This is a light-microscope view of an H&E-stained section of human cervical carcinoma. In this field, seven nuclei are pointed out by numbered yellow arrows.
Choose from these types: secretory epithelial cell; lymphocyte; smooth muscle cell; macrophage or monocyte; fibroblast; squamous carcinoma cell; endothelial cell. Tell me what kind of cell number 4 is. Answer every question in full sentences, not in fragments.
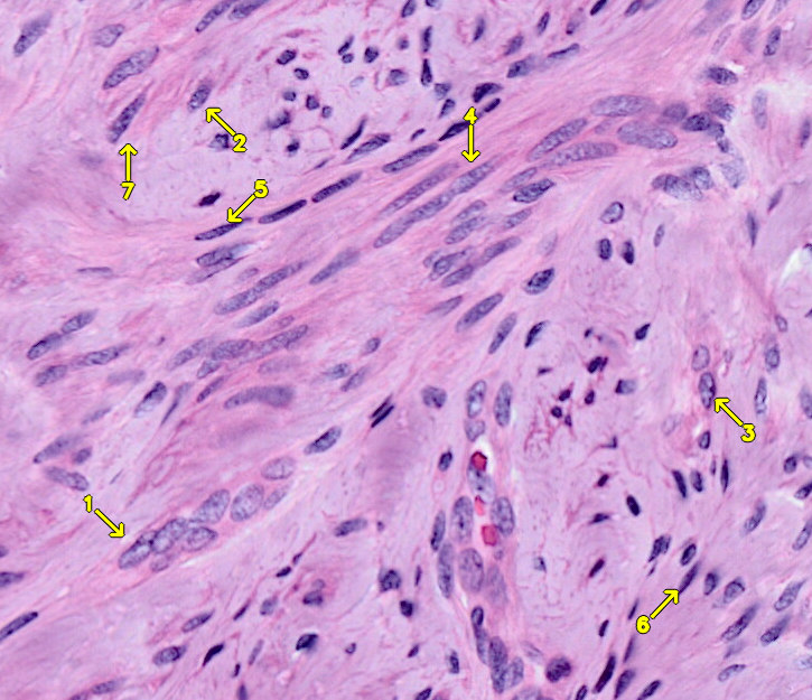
The cell assigned the number 4 is a smooth muscle cell.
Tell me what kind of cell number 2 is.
In this section, the cell numbered 2 is a smooth muscle cell.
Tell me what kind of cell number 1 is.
The cell carrying label 1 is identified as an endothelial cell.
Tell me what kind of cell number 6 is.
The cell indicated with the number 6 is classed as a fibroblast.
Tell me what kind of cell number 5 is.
In the marked set, the cell given number 5 is a fibroblast.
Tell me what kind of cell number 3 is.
The cell numbered 3 represents an endothelial cell.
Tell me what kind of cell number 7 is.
The cell indicated with the number 7 is classed as a smooth muscle cell.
